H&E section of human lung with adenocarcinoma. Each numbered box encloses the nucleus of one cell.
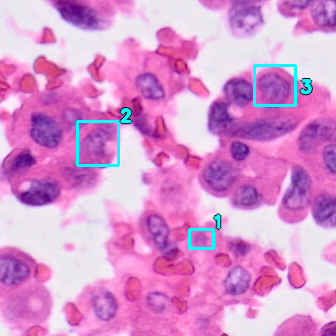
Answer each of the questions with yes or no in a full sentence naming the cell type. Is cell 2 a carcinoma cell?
Yes, a carcinoma cell is what the cell numbered 2 is.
